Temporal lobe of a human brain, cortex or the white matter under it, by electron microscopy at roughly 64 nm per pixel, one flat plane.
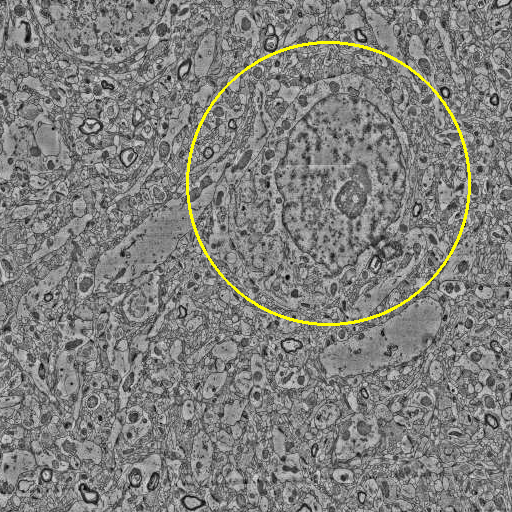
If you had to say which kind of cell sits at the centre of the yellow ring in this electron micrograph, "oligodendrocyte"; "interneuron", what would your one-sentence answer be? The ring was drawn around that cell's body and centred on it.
The cell sitting at the centre of the ring is an interneuron.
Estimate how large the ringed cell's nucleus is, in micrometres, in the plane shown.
About 12 by 8 micrometers for the nucleus, in this plane.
